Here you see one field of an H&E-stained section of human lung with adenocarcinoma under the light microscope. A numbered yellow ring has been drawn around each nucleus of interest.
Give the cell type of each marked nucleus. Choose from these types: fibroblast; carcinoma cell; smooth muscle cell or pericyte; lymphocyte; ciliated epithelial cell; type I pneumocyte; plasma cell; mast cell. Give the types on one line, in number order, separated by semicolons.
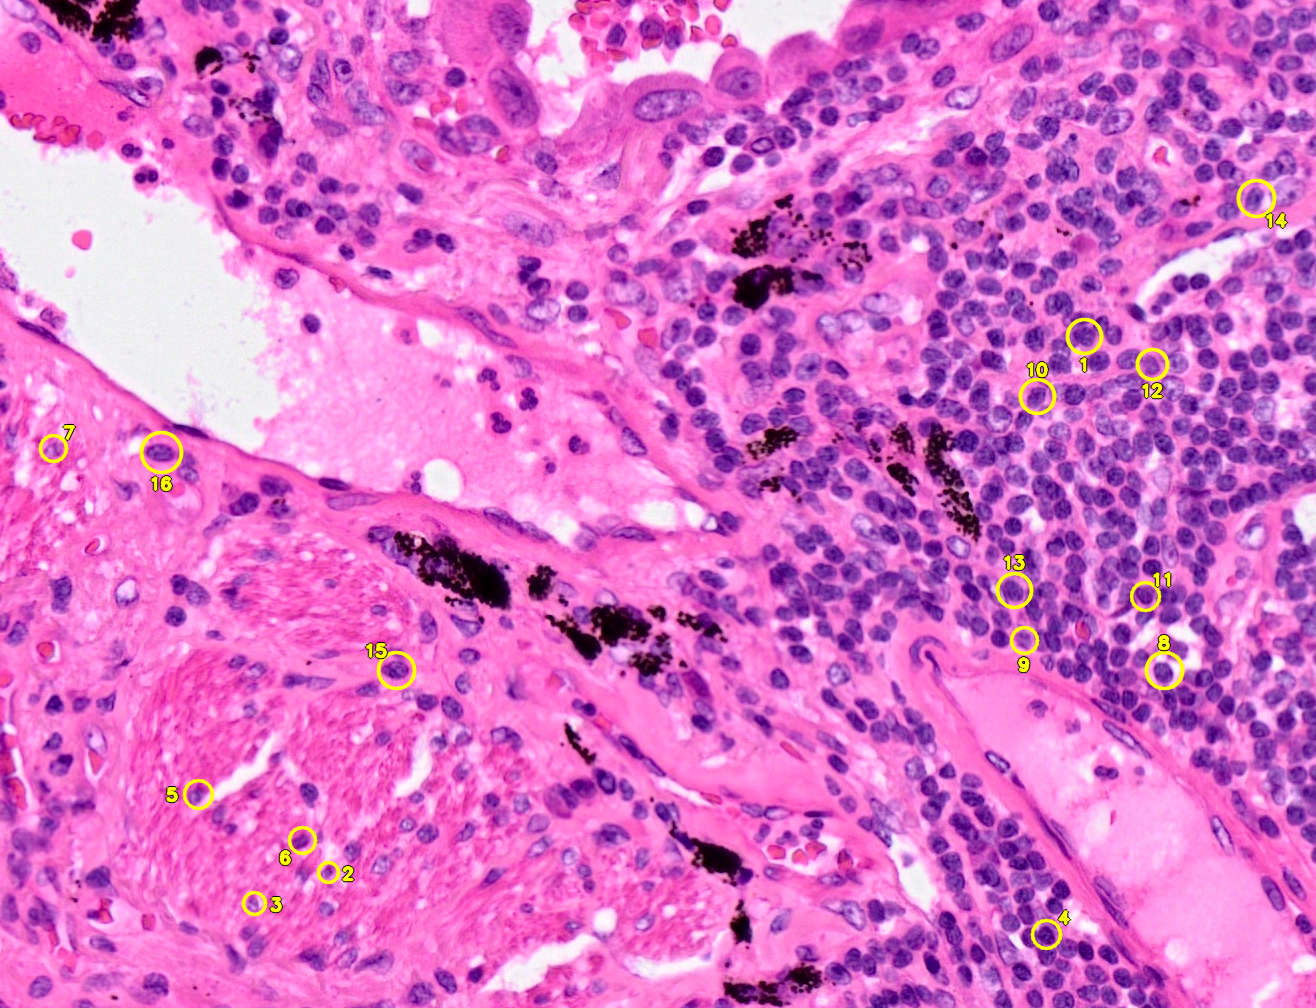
lymphocyte; smooth muscle cell or pericyte; smooth muscle cell or pericyte; lymphocyte; smooth muscle cell or pericyte; smooth muscle cell or pericyte; smooth muscle cell or pericyte; lymphocyte; lymphocyte; lymphocyte; lymphocyte; lymphocyte; lymphocyte; lymphocyte; mast cell; mast cell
